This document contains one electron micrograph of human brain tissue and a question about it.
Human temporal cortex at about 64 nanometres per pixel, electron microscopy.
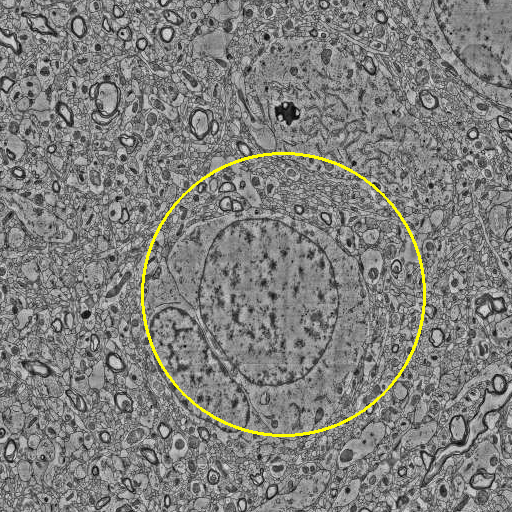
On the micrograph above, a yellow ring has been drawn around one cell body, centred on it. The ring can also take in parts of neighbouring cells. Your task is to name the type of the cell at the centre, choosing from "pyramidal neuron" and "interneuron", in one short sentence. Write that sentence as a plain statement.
Here the ring is centred on a pyramidal neuron.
